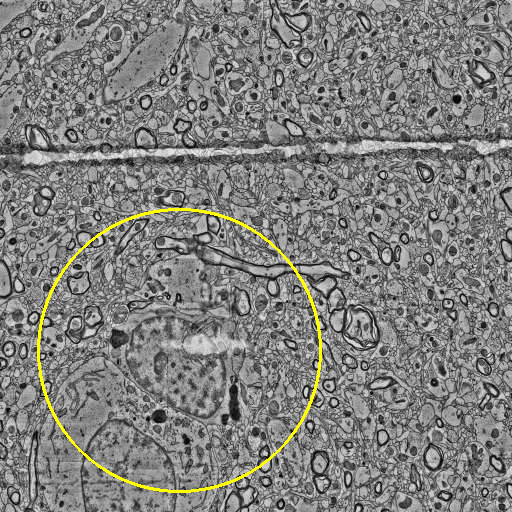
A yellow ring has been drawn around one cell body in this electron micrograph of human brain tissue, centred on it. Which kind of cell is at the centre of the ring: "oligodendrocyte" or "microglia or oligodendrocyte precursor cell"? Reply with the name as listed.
oligodendrocyte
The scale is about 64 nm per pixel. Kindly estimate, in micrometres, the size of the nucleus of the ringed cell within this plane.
Roughly 7 micrometres by 5 micrometres, in this plane.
